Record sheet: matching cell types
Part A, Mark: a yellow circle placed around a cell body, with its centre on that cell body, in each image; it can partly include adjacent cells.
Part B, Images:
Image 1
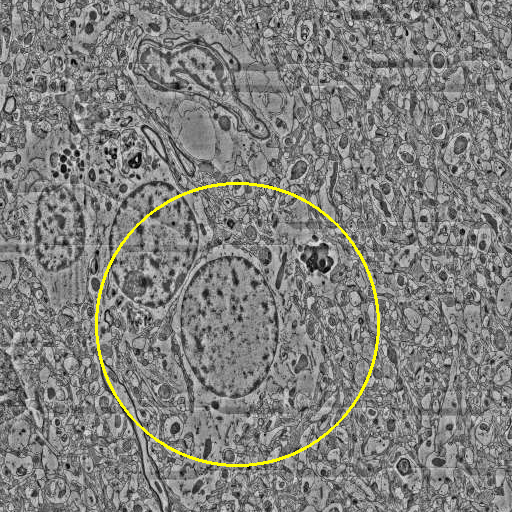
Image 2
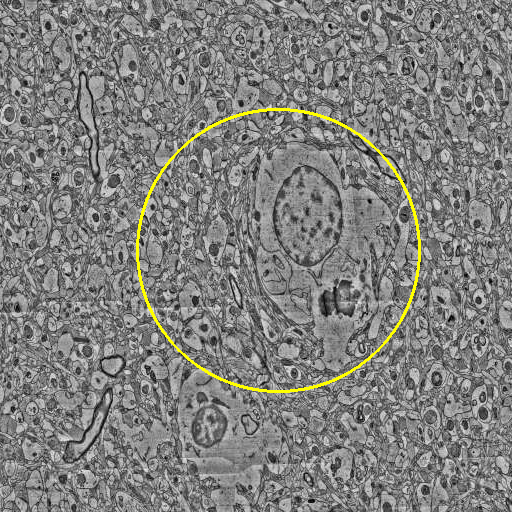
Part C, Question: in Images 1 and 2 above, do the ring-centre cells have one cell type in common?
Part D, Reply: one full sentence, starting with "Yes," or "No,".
Yes, the ring-centre cells of Image 1 and Image 2 are both of a single cell type.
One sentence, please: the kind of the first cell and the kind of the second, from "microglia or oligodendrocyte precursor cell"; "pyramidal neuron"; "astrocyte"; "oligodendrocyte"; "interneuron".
Each one of the two ringed cells is an astrocyte.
